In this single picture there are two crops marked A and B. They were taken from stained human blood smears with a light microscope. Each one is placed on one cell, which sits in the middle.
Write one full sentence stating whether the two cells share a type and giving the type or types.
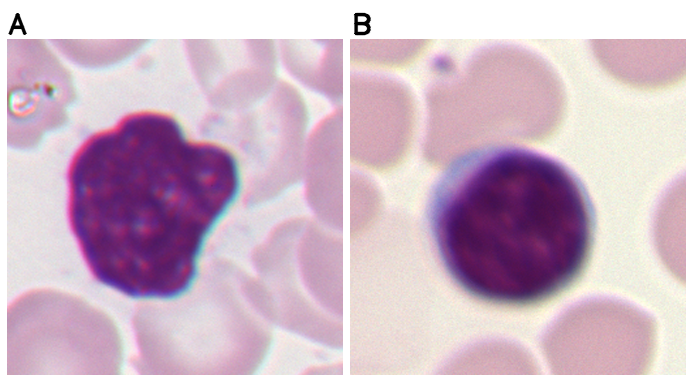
No, shown in crop A is a smudge cell, and shown in crop B is a typical lymphocyte.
